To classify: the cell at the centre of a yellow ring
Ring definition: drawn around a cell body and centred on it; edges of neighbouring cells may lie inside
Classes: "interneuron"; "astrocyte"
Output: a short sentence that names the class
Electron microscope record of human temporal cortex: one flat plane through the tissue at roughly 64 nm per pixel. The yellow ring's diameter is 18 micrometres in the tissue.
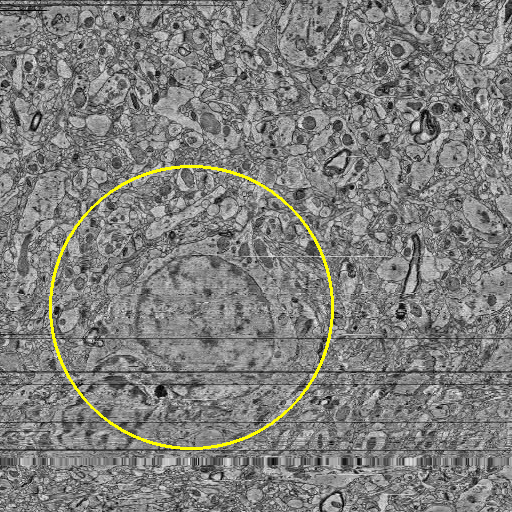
The ringed cell is an interneuron.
